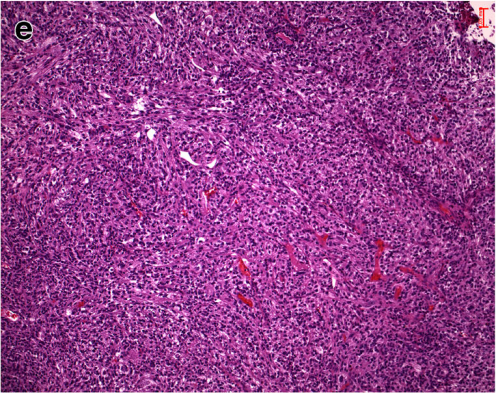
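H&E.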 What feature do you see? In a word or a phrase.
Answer: thin-walled blood vessels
